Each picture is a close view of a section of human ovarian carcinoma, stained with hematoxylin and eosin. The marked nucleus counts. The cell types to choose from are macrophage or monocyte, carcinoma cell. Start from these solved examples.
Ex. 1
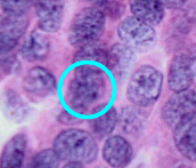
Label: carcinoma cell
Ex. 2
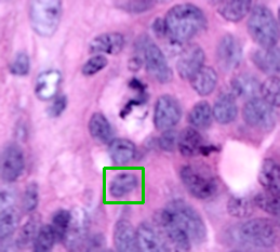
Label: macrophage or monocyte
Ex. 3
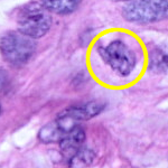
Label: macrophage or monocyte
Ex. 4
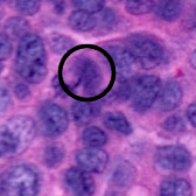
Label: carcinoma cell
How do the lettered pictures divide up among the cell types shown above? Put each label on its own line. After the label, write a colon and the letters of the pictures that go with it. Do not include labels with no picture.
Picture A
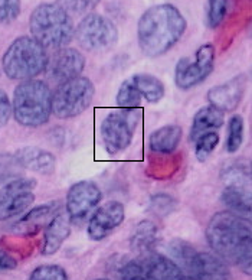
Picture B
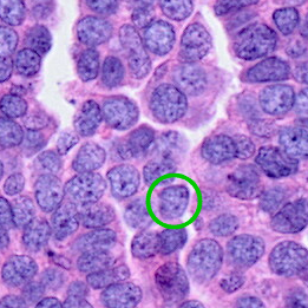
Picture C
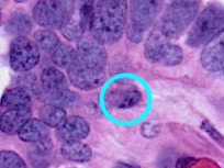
macrophage or monocyte: A, C
carcinoma cell: B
